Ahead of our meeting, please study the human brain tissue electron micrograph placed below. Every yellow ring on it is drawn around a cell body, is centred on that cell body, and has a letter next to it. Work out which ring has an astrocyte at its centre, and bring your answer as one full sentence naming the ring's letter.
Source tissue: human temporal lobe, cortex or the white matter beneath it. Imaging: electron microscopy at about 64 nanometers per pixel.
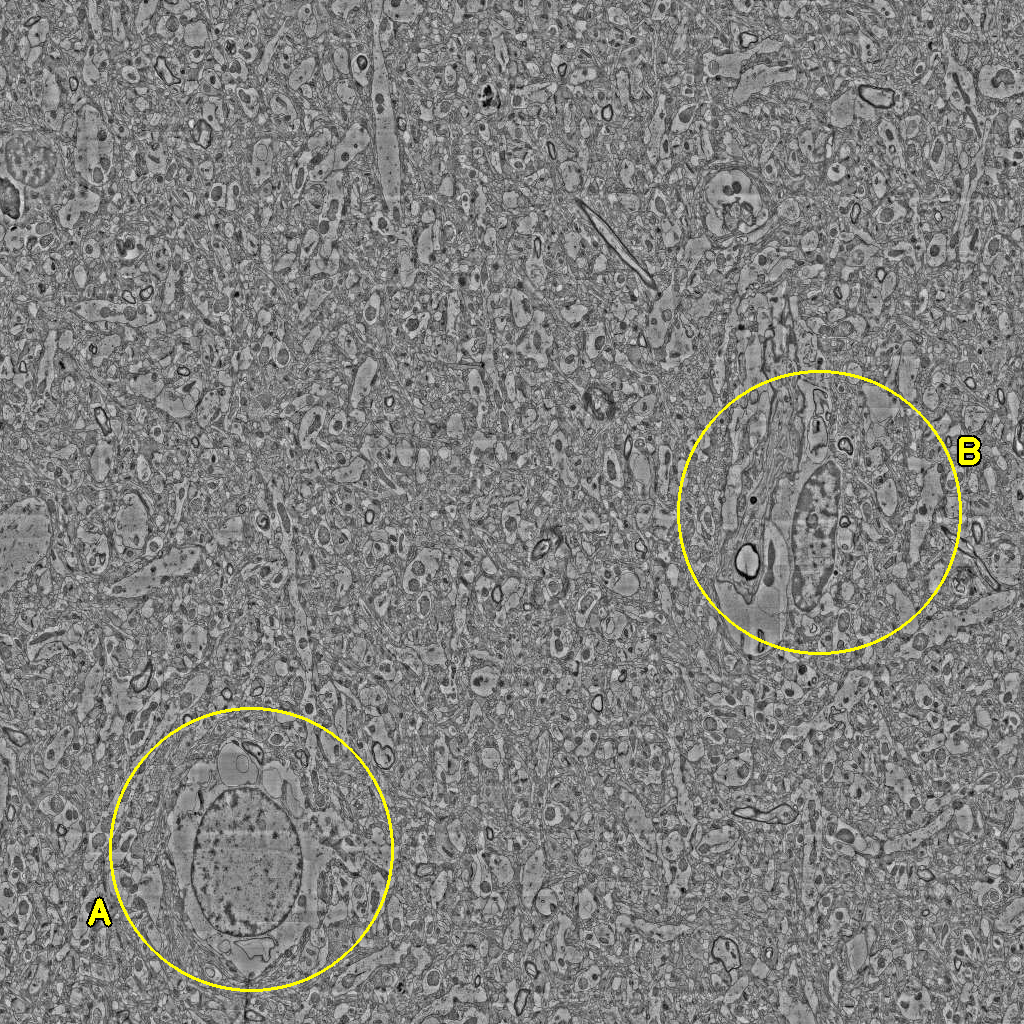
In the micrograph, ring A is the one centred on the cell I was asked to find.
